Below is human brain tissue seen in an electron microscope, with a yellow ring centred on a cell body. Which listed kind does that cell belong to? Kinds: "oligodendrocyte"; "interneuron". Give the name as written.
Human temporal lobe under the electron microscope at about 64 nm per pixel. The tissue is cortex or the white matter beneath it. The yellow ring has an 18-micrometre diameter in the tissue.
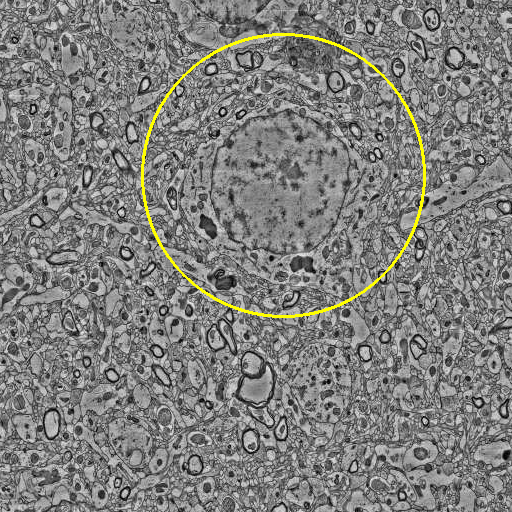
interneuron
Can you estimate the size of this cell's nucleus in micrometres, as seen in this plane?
About 9 micrometres across, as seen in this plane.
